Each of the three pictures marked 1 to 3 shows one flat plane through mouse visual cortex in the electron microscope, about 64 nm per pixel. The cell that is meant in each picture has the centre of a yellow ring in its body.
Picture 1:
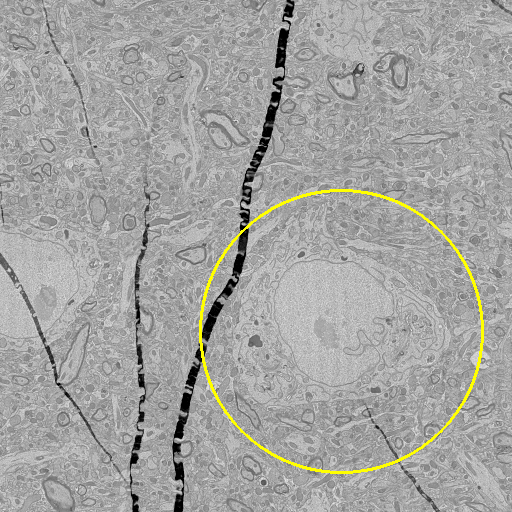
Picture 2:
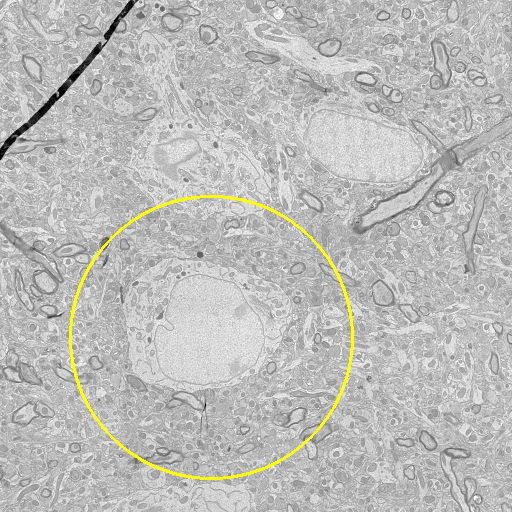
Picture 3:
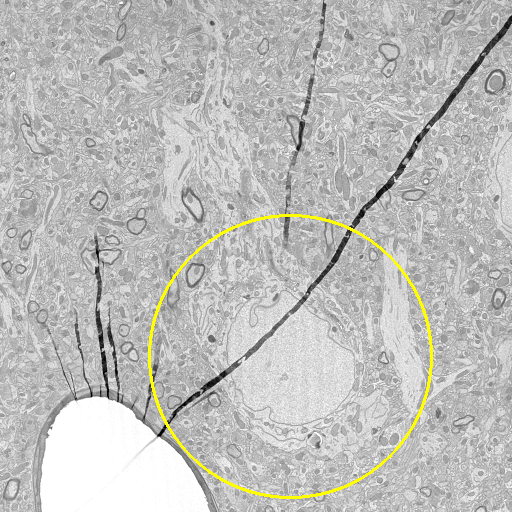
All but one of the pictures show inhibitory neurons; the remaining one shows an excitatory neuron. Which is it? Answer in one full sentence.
Picture 2 is the one that shows the excitatory neuron.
